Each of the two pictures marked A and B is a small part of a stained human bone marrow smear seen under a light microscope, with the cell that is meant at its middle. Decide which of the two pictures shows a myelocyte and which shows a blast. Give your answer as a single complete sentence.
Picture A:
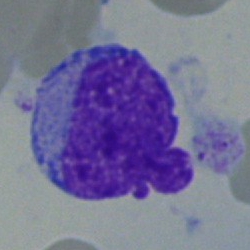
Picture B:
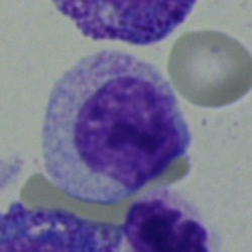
The cell in picture A is a blast, and the one in picture B is a myelocyte.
